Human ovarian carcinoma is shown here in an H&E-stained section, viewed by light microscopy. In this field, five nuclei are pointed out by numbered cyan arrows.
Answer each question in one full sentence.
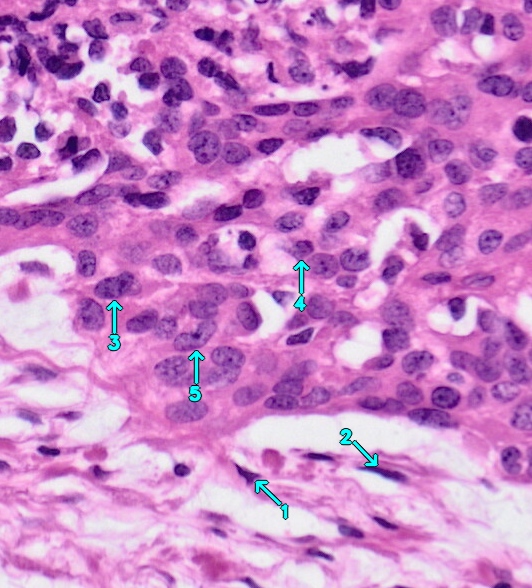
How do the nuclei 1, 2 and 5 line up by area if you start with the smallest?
By area, going up from the smallest, they rank 1, 2, 5.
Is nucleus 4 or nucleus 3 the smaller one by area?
Number 4 is smaller, since number 3 takes up about 2 times as much area.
